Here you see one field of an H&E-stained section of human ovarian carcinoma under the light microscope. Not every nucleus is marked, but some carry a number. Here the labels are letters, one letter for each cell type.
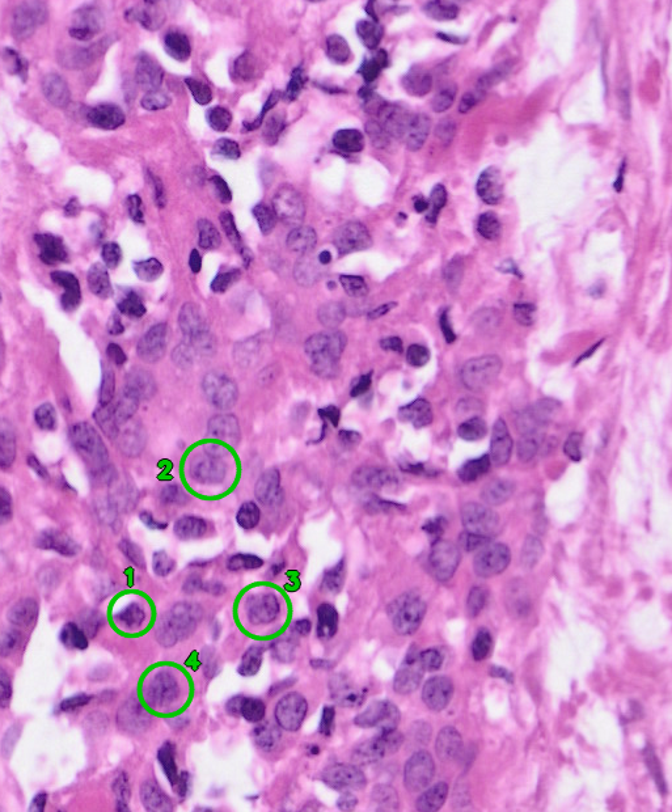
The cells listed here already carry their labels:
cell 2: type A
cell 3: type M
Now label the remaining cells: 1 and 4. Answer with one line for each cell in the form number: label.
1: type A
4: type A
